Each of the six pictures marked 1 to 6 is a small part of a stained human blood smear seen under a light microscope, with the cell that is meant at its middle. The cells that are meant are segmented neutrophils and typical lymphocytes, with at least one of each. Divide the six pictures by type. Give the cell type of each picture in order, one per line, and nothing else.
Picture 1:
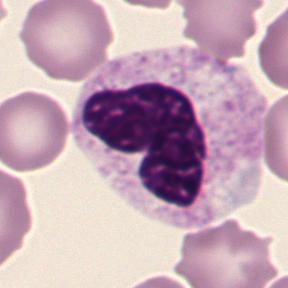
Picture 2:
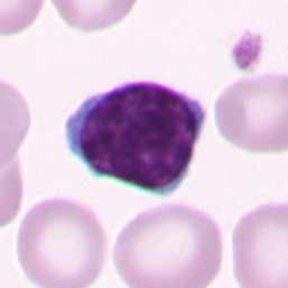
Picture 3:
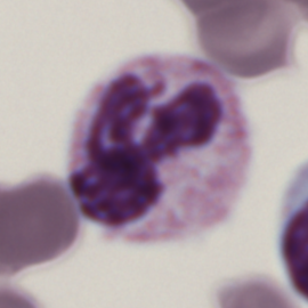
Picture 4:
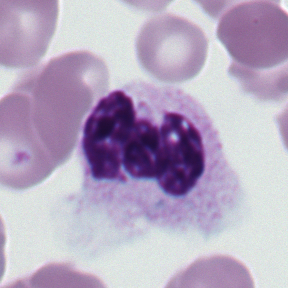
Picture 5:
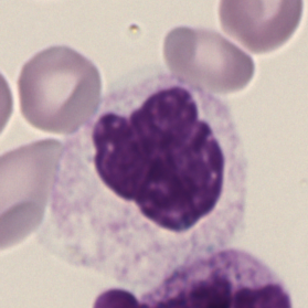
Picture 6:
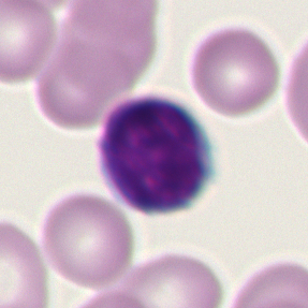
segmented neutrophil
typical lymphocyte
segmented neutrophil
segmented neutrophil
segmented neutrophil
typical lymphocyte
